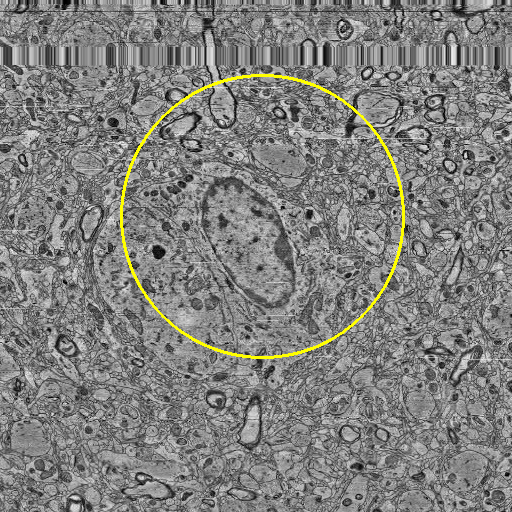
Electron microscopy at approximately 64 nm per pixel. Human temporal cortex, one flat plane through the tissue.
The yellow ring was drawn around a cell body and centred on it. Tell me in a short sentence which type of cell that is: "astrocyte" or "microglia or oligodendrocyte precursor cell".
The cell at the ring's centre is a microglial cell or oligodendrocyte precursor cell.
